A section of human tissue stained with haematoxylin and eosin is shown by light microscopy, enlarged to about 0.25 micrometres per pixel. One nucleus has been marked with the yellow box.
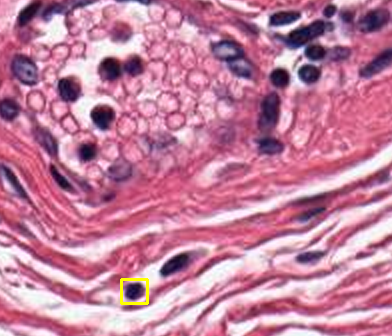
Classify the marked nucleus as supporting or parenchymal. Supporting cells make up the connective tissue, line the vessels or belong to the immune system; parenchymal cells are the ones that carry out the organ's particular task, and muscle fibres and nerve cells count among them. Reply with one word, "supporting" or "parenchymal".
supporting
